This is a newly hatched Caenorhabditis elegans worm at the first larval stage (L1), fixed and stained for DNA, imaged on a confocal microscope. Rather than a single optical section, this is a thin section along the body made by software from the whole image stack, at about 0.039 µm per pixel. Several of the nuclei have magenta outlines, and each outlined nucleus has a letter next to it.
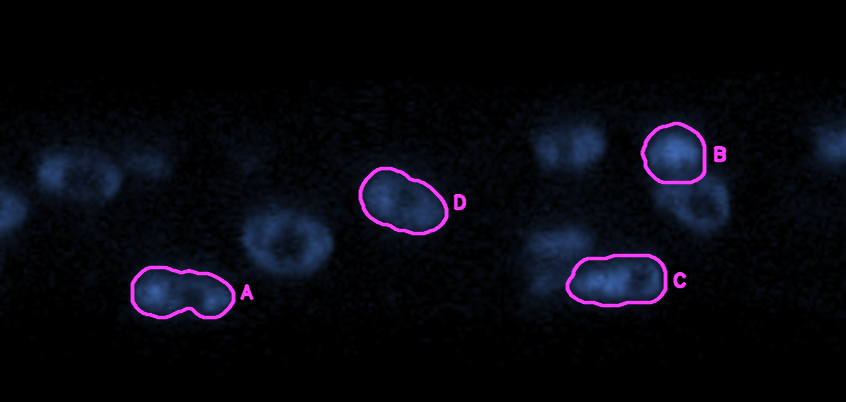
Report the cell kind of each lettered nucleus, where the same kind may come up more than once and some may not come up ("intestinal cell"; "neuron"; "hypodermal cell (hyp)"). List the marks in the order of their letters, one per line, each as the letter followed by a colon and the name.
A: hypodermal cell (hyp)
B: neuron
C: hypodermal cell (hyp)
D: intestinal cell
